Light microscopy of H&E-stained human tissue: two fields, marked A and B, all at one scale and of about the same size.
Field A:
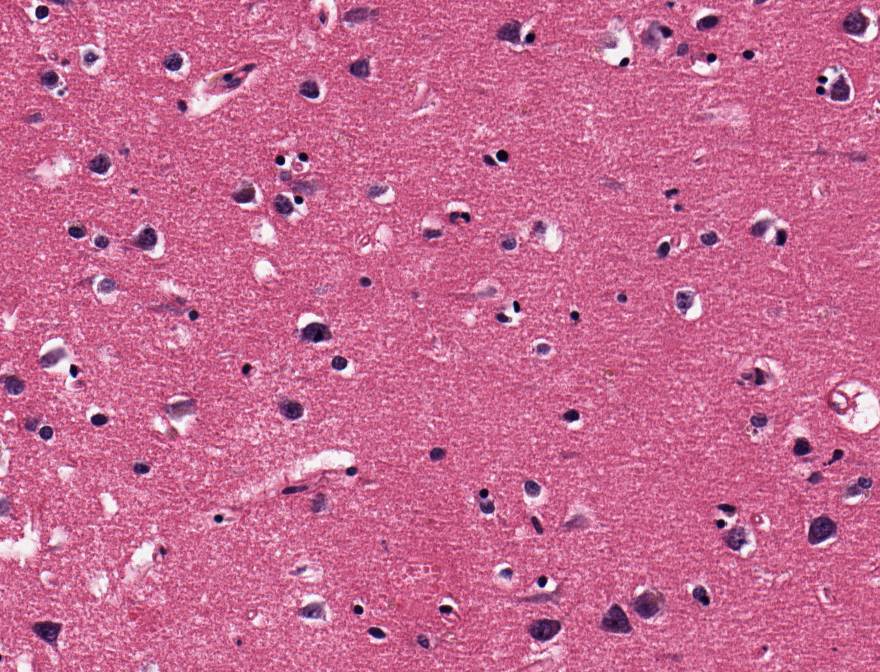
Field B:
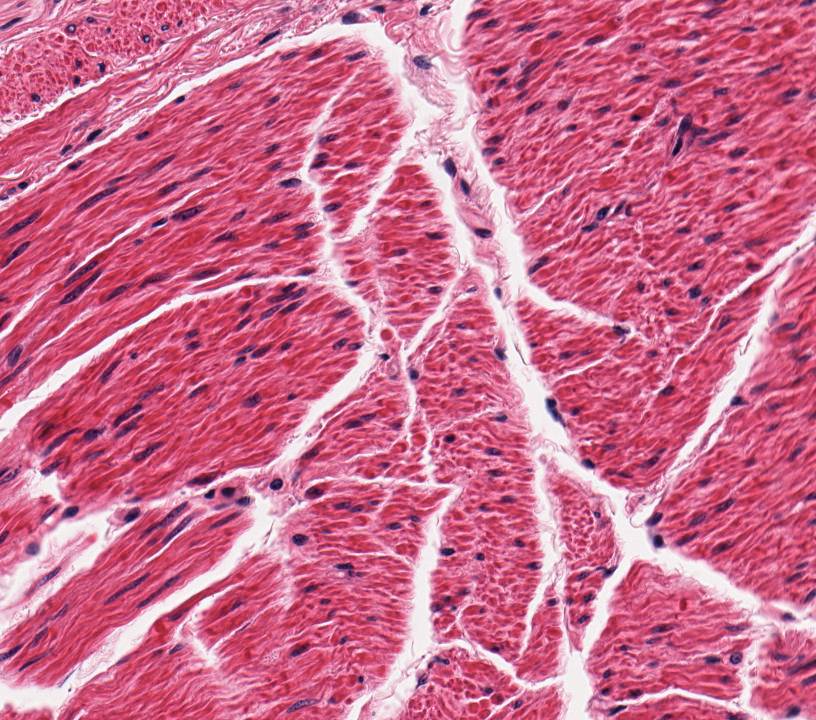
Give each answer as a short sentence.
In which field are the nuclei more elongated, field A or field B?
It is field B whose nuclei are the more elongated.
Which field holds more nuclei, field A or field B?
The larger number of nuclei is in field B.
